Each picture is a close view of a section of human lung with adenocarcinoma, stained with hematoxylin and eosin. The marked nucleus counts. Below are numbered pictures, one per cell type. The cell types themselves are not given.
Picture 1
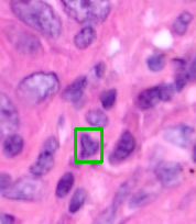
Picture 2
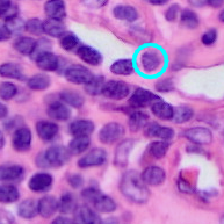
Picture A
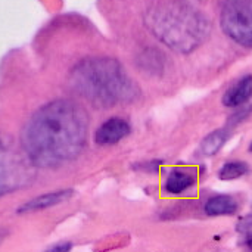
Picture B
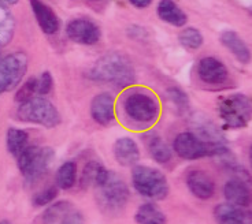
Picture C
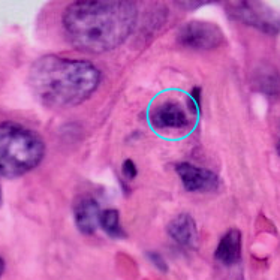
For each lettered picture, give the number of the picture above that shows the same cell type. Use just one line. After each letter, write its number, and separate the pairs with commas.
A 1, B 1, C 1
